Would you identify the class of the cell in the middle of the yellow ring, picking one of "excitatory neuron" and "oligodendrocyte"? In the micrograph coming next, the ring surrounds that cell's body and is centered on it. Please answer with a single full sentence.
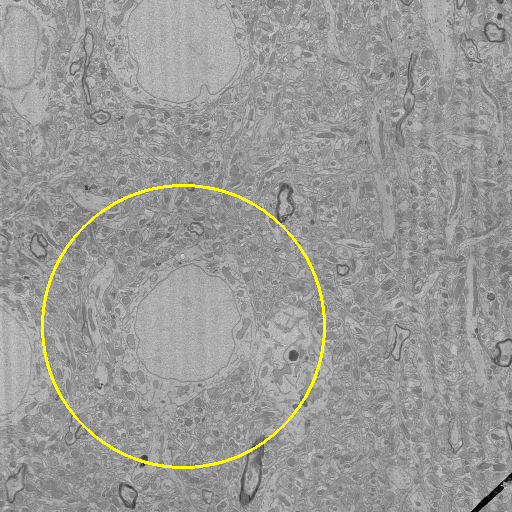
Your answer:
In the micrograph, it is an excitatory neuron whose body lies at the ring's center.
